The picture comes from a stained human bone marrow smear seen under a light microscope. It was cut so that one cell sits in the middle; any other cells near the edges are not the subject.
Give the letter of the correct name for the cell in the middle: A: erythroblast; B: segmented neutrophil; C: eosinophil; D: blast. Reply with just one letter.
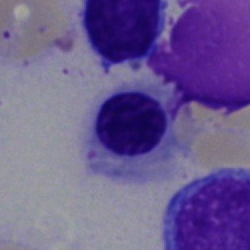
A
